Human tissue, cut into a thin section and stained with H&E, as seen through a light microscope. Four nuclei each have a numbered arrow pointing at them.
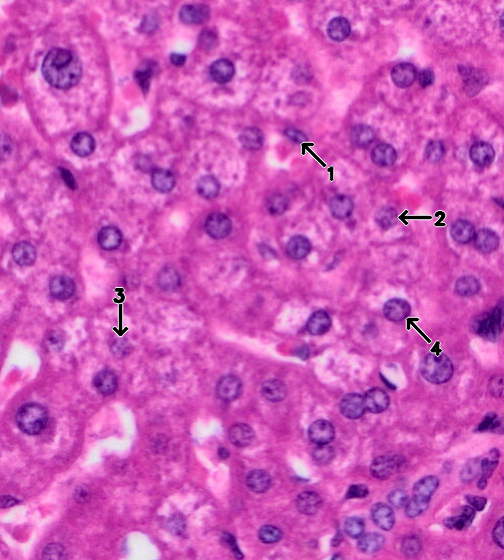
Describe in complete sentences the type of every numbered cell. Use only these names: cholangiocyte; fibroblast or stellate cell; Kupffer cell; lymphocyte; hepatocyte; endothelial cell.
Cell 1 is a Kupffer cell. Cells 2, 3 and 4 are hepatocytes.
